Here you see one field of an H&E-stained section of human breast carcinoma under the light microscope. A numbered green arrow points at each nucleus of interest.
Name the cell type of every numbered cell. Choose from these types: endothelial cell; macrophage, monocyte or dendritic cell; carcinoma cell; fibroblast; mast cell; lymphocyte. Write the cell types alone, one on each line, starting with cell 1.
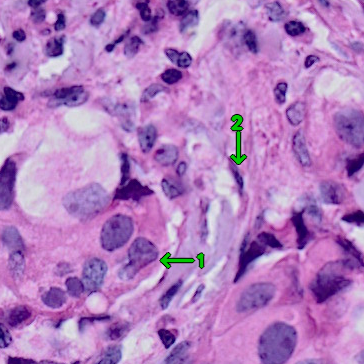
carcinoma cell
fibroblast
